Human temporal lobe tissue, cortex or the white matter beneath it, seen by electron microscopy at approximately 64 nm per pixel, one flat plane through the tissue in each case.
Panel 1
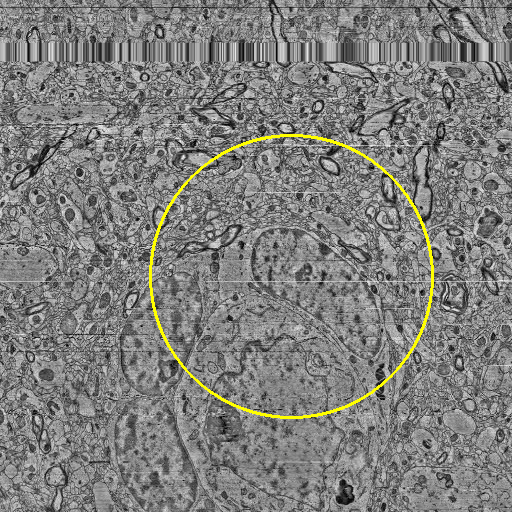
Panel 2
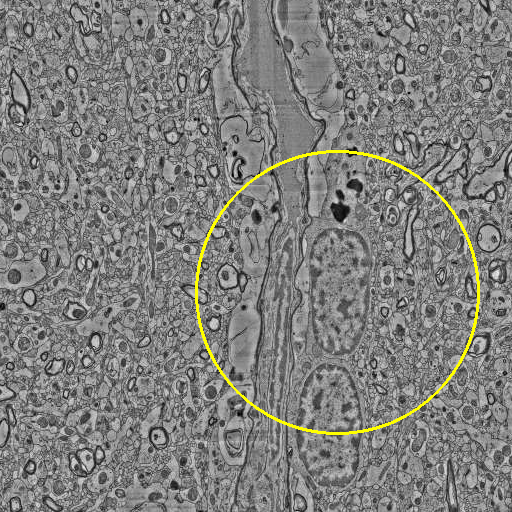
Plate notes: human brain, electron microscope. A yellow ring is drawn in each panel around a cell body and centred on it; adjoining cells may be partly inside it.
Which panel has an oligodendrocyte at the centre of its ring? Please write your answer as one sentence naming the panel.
The ring in Panel 2 is centred on such a cell.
